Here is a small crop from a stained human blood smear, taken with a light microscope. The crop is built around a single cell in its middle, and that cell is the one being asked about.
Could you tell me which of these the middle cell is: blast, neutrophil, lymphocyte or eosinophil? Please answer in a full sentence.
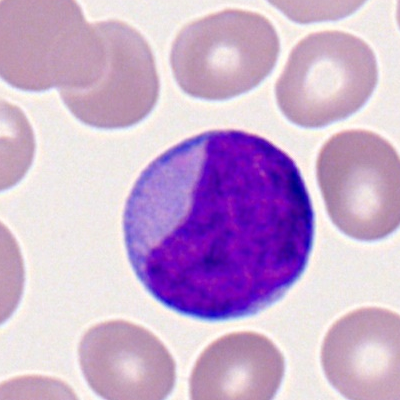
The cell marked by its central position in the crop is a blast.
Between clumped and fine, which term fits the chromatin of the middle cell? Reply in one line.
The chromatin pattern here is coarse and clumped.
